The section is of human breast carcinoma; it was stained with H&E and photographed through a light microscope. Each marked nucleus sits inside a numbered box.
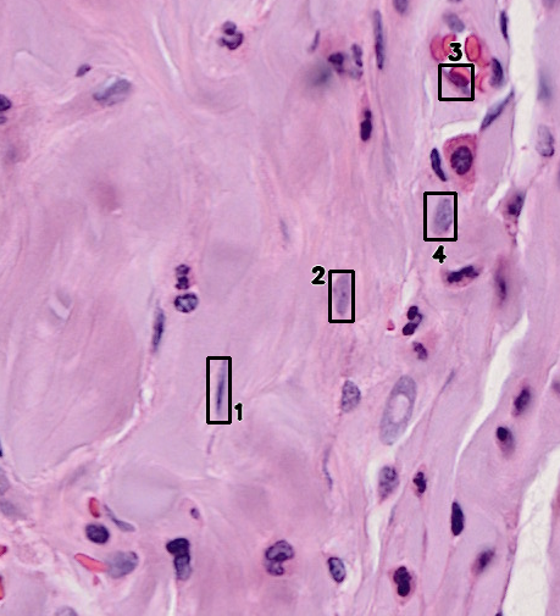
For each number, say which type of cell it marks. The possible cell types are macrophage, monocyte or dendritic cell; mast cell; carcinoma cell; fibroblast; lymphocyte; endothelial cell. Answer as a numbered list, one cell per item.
1. fibroblast
2. fibroblast
3. endothelial cell
4. fibroblast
